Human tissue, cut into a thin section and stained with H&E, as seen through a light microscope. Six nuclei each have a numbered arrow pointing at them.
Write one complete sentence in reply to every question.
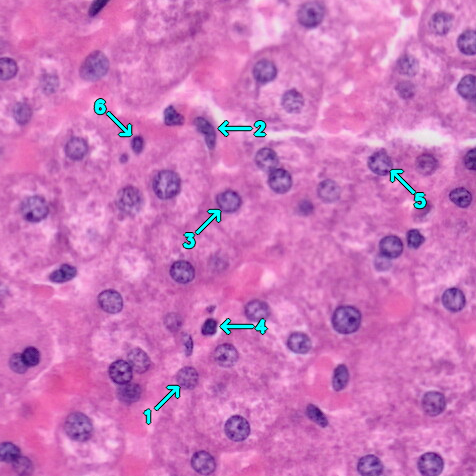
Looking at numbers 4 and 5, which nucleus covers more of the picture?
Of the two, number 5 is bigger and takes up about 2 times the area of number 4.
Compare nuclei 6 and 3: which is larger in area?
At about 2 times the area of nucleus 6, nucleus 3 is the larger of the two.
